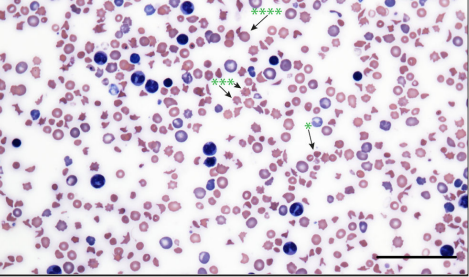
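This is a blood smear in which the red cells vary strongly in size, shape and depth of pink staining. Many cells are misshapen: some are spiky at their edges, some are drawn out into teardrop forms, some are small and dense without a pale centre, and some have a slit-like pale centre. Scattered among them are numerous round cells stained deep blue to purple, far more than in a normal smear. Overall the field looks disordered compared with the even sheet of disc-shaped red cells seen in normal blood.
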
